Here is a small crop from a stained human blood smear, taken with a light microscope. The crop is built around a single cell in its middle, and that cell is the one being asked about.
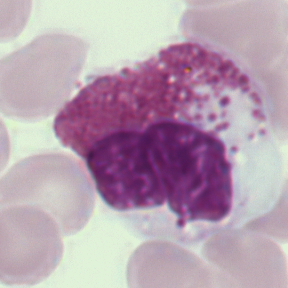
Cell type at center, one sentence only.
As for the cell in the middle, it is an eosinophil.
